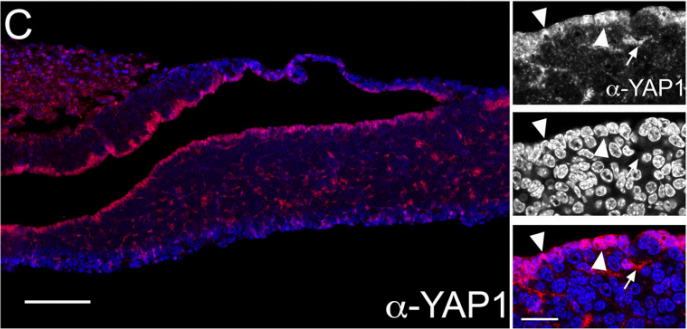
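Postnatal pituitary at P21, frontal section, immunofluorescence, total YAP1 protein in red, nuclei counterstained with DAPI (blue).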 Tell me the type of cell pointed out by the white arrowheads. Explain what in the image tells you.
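An arrowhead marks the cell layer at the free edge facing the lumen. That edge layer is stained red in the merged inset.
Answer: periluminal cells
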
